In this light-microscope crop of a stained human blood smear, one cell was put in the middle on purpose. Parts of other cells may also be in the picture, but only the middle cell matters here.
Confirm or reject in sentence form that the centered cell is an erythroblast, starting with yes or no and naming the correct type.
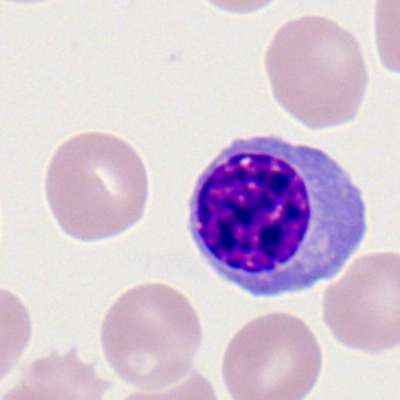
Yes, the identity of the central cell is that of an erythroblast.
